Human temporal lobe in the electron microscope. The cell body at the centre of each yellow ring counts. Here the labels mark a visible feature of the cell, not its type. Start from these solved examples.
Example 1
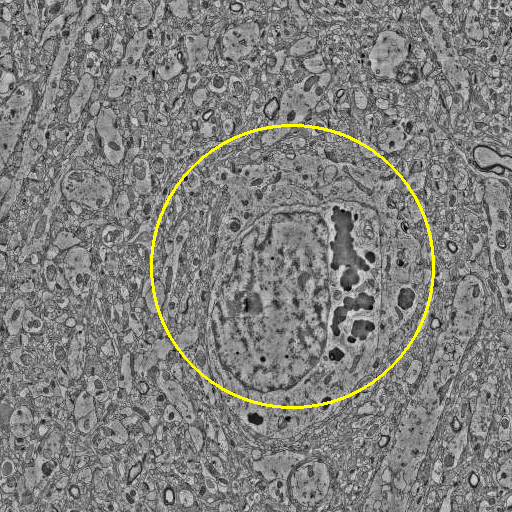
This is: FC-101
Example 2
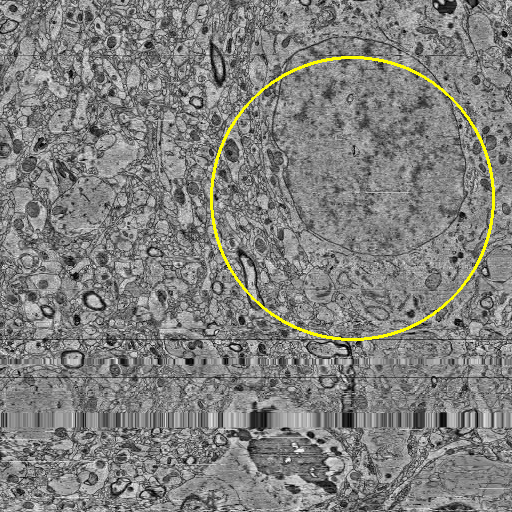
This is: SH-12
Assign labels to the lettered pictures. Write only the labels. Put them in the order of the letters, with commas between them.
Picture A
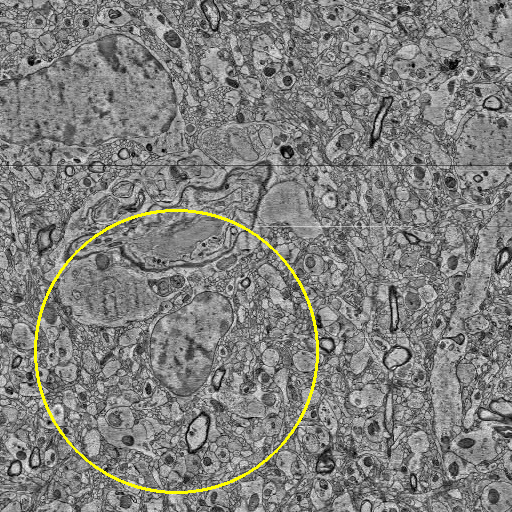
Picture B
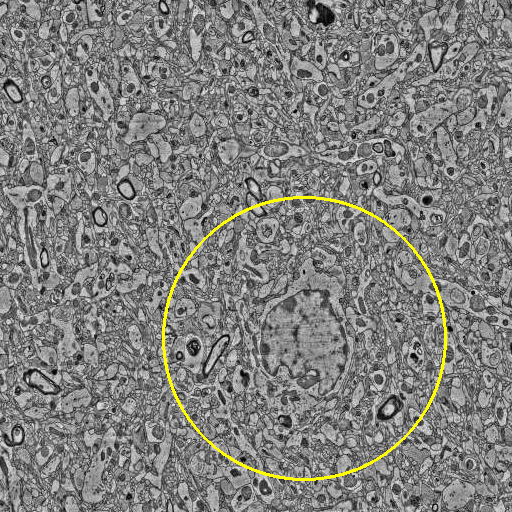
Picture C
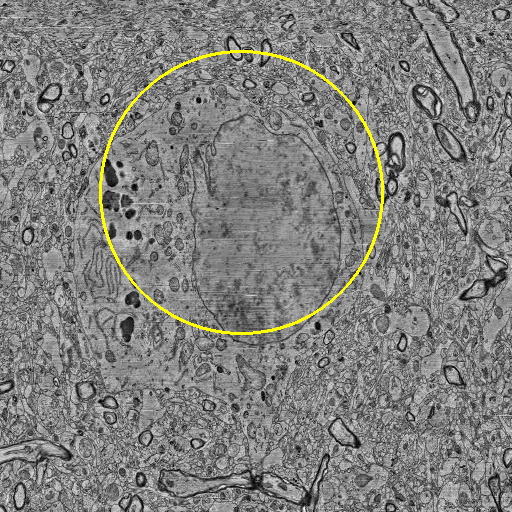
SH-12, FC-101, FC-101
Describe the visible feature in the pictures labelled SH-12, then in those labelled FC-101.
SH-12, smooth nuclear envelopes without deep folds; FC-101, deeply folded or indented nuclear envelopes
